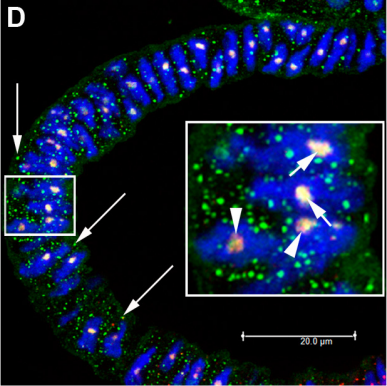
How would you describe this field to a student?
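Terminal filament of an ovariole, a curved strand one cell wide. Blue nuclei are flattened discs stacked in a single row like coins, filling most of the strand's width. Most nuclei contain one or two bright whitish-pink to yellow foci. Small green dots are scattered in the thin cytoplasm between and around the nuclei. An enlarged inset shows a few stacked nuclei with yellow and pink foci inside and green dots around them.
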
